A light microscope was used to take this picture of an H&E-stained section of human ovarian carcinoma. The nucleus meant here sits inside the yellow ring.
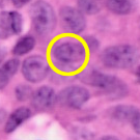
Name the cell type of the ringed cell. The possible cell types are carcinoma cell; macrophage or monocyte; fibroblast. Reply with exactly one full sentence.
What the ringed cell represents is a carcinoma cell.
